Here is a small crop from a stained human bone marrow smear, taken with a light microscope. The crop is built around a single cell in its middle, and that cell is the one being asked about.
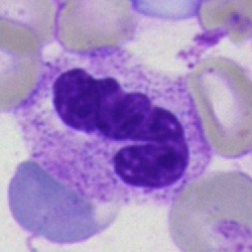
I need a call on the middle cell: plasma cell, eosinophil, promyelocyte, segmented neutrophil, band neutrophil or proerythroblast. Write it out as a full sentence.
In short, the cell at the center is a segmented neutrophil.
